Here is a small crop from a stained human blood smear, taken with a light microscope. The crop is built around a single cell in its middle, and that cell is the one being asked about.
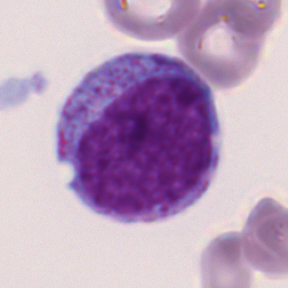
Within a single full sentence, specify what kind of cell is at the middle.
The single cell at the center of the crop is a promyelocyte.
